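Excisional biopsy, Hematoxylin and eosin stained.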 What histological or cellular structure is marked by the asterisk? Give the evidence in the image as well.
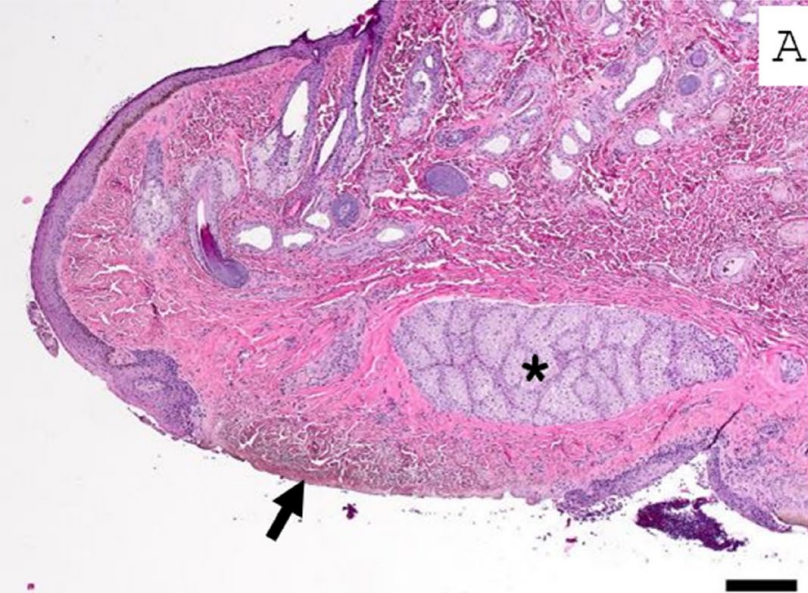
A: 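Large oval gland made of lobules of pale, foamy, vacuolated cells. The lobules are separated by thin purple septa. The gland lies deep in the stroma, surrounded by pink collagen.
Meibomian gland.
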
